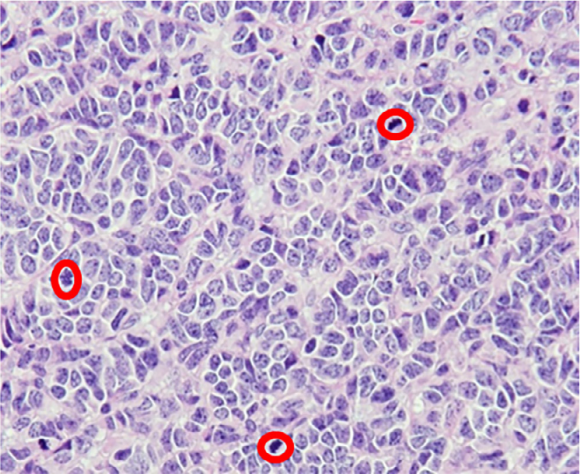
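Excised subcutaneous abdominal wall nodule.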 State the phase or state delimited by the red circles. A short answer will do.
Mitotic activity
